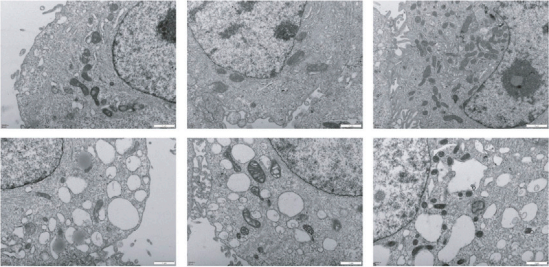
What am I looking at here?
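Transmission electron micrographs of cultured cells, each showing part of a nucleus and surrounding cytoplasm. In the upper row the cytoplasm is compact, with scattered mitochondria and other organelles. In the lower row the cytoplasm is filled with numerous round, electron-lucent vacuoles of varying size lying among the mitochondria.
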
